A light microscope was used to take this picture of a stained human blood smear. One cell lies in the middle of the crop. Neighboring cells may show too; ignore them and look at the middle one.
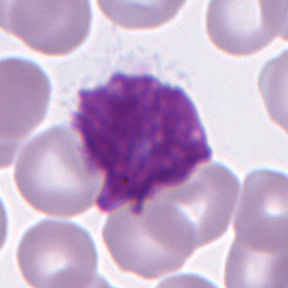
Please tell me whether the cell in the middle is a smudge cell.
yes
